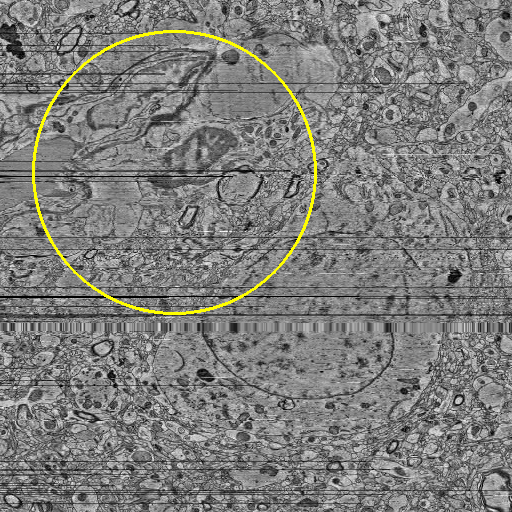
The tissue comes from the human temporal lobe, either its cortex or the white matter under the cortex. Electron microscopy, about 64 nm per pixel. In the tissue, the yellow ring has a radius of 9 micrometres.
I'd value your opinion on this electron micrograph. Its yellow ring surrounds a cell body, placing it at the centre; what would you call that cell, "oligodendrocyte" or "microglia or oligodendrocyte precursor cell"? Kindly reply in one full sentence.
It is a microglial cell or oligodendrocyte precursor cell that sits centred within the yellow ring in this micrograph.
